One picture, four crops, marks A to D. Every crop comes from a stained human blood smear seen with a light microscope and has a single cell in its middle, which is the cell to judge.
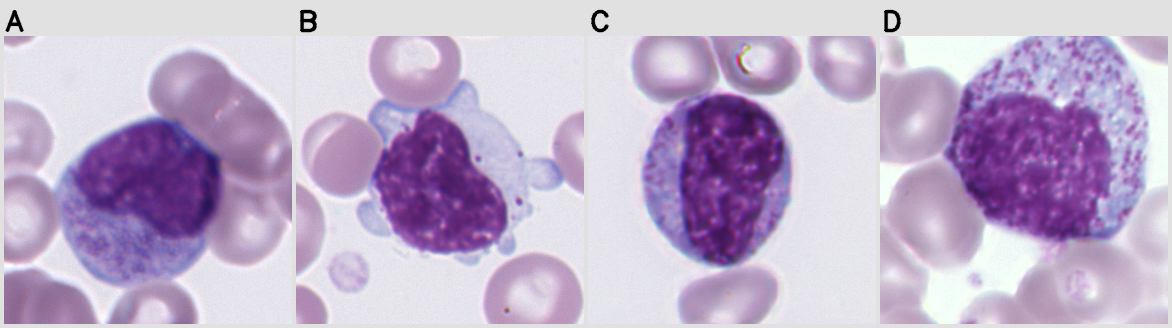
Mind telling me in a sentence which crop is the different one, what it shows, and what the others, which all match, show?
Crop B is the different one, a large granular lymphocyte, while the rest are myelocytes.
